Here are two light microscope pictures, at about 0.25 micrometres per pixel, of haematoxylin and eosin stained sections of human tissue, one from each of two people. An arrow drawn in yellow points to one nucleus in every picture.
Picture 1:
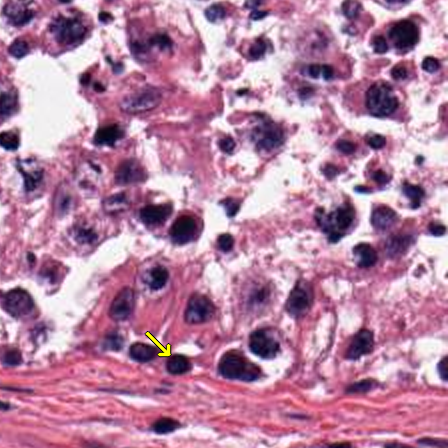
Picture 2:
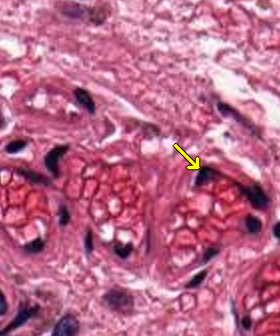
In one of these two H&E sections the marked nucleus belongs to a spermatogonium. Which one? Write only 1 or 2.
1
